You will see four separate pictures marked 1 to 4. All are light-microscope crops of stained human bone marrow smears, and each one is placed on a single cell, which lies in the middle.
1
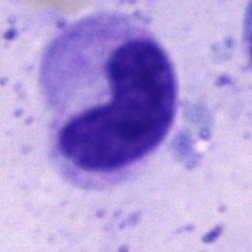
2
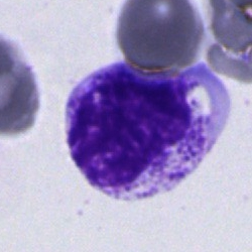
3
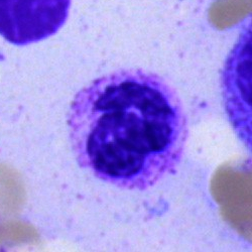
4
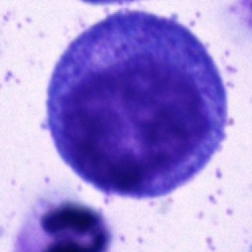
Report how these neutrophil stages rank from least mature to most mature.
4, 2, 1, 3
